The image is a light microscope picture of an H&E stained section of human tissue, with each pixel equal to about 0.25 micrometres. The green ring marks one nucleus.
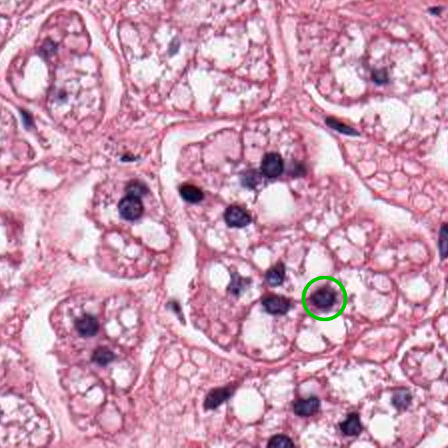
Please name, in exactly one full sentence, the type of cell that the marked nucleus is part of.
In this picture it is an adrenal cortical cell whose nucleus is marked.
